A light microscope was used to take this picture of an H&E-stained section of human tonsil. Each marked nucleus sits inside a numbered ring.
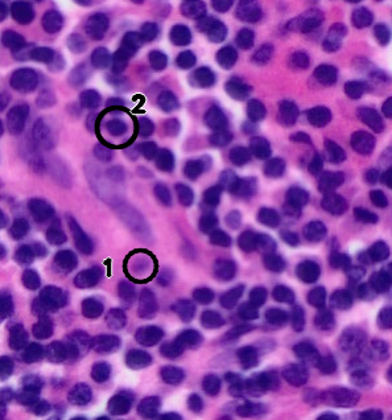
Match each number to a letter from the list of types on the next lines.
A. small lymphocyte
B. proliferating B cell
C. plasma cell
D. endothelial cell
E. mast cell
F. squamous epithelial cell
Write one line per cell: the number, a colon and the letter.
1: D
2: A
